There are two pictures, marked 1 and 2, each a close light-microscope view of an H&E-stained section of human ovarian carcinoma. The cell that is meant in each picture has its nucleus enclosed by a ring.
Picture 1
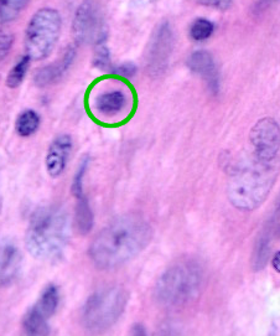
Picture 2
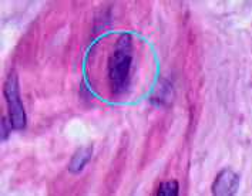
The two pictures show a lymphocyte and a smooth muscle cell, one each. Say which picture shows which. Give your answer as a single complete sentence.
The cell in picture 1 is a lymphocyte, and the one in picture 2 is a smooth muscle cell.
